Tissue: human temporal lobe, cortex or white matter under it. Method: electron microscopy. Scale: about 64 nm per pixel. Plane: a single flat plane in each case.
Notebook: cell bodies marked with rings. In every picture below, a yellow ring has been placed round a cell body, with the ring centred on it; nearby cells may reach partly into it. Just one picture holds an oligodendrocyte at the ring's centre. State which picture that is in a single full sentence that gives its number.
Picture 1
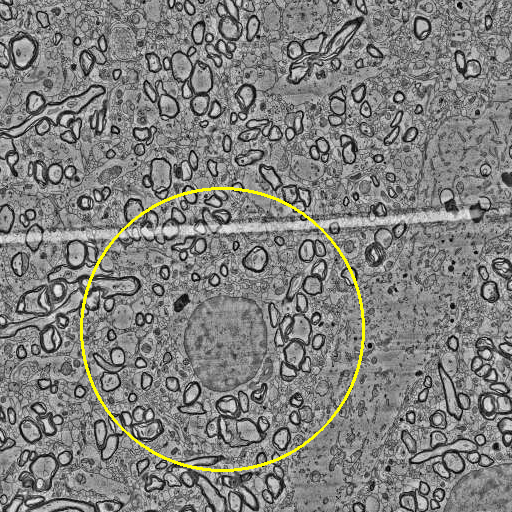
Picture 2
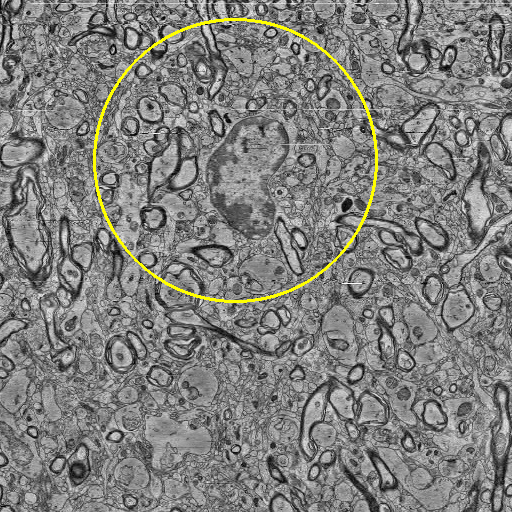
It is picture 1 whose ring has the wanted cell right at its centre.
